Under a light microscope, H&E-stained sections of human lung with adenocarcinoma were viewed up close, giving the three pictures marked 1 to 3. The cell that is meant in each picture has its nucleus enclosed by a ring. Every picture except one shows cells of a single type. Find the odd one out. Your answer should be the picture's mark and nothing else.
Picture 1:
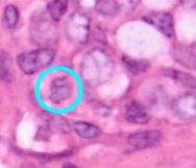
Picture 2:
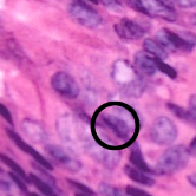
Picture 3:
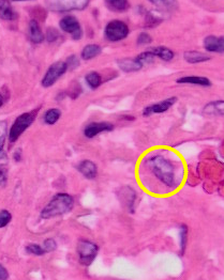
3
